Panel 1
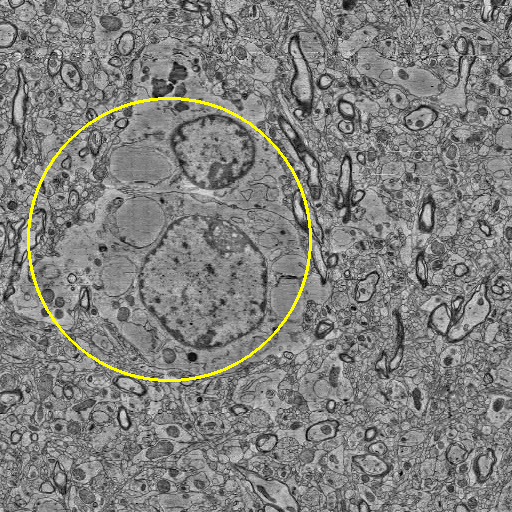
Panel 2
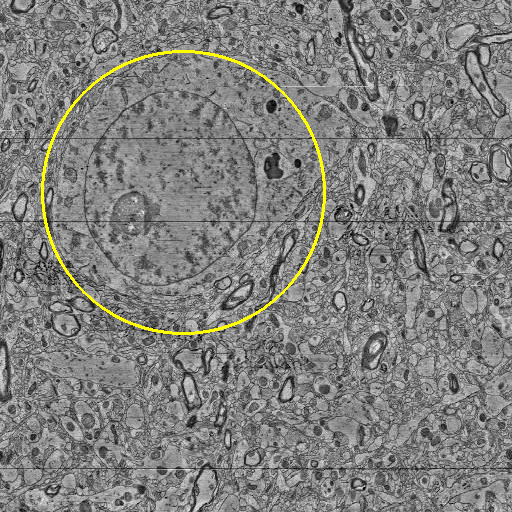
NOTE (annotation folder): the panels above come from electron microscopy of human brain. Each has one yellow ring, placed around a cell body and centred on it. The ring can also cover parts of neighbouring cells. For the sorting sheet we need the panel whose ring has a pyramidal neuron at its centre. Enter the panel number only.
2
